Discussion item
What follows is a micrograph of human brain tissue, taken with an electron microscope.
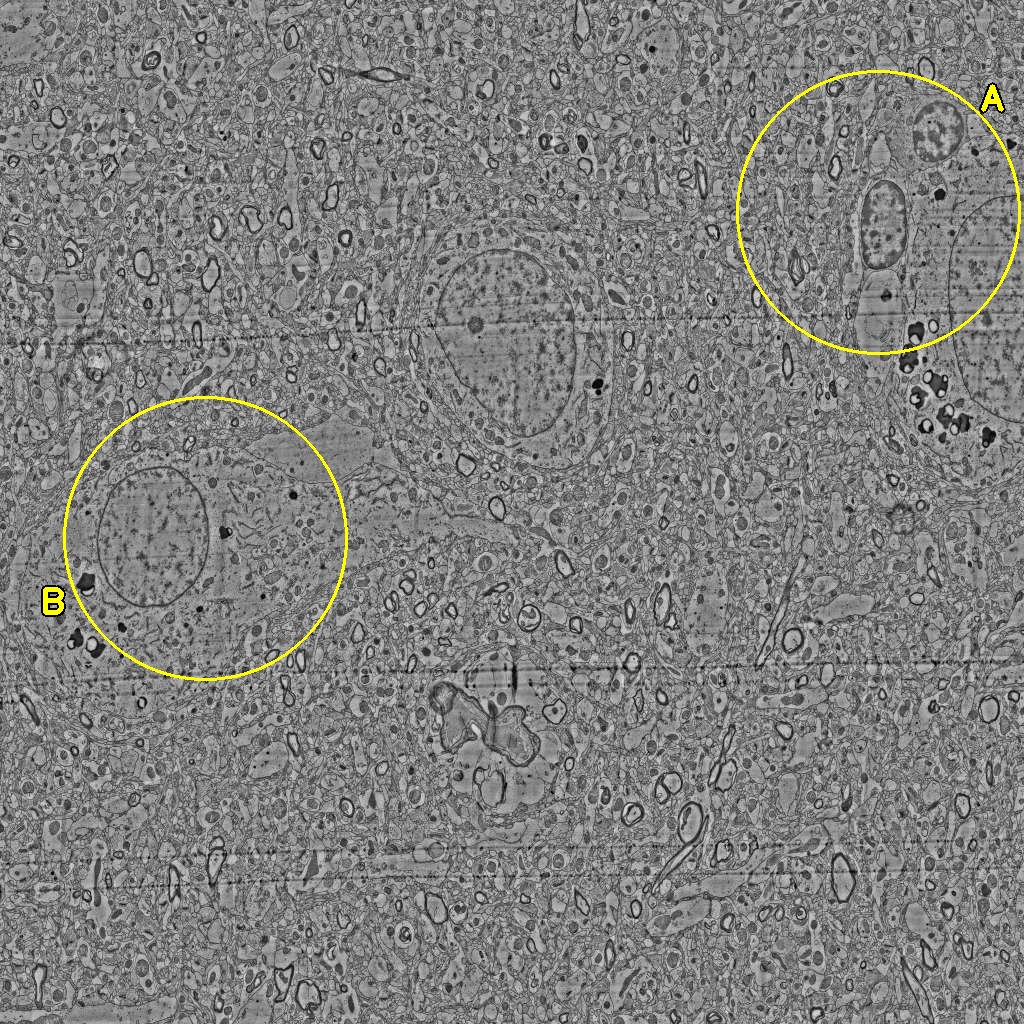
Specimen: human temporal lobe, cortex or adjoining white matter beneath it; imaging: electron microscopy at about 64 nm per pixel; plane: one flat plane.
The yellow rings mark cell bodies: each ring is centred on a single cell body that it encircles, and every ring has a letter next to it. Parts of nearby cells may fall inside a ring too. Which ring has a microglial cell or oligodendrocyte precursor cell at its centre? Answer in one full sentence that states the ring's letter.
Ring A is the ring whose centre falls on the cell the question asks about.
